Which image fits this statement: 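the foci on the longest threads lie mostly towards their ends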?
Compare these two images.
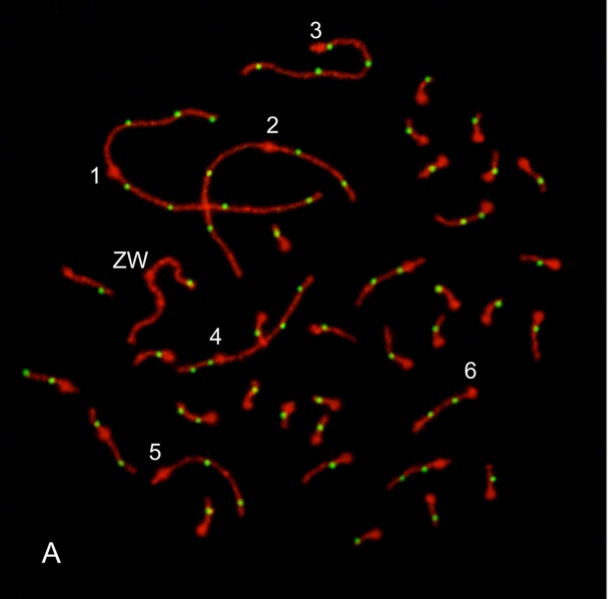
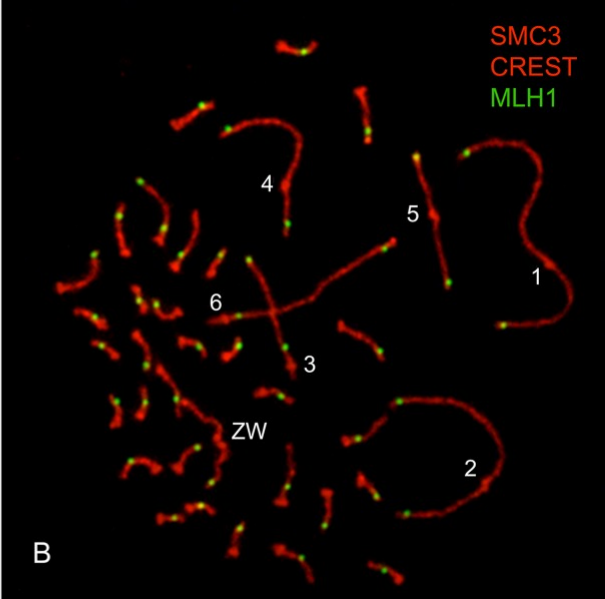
the second image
